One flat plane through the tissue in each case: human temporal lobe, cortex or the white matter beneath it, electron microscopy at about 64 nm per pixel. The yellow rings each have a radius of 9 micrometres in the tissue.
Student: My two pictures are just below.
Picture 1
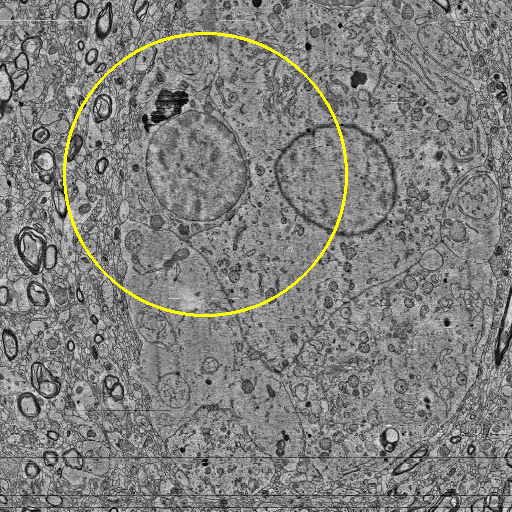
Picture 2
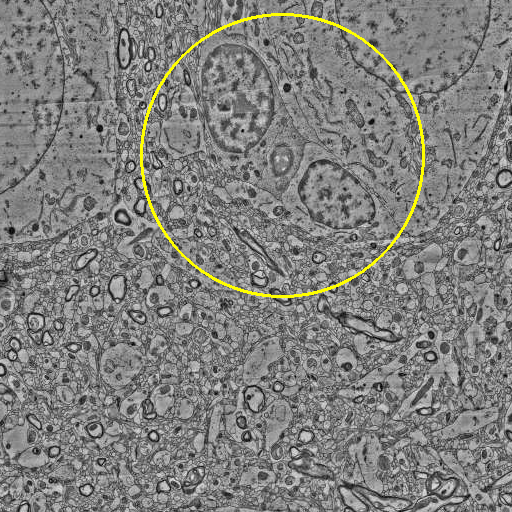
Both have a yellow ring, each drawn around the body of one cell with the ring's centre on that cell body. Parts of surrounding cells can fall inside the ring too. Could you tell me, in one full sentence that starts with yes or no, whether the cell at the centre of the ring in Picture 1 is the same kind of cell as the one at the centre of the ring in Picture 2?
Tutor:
Yes, the two cells are of the same kind.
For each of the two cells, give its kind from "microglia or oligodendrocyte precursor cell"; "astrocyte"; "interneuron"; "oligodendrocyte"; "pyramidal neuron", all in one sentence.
Each of the two rings is centred on an oligodendrocyte.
